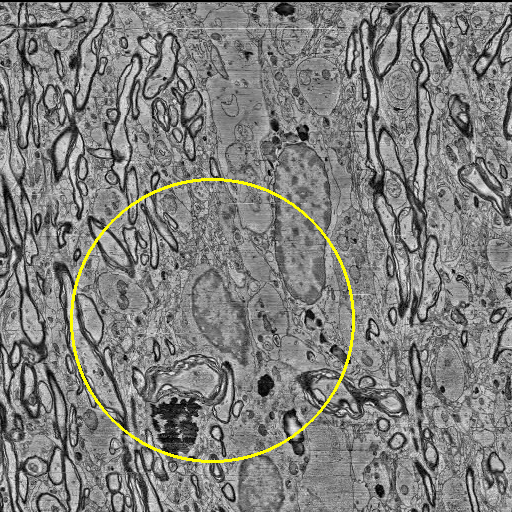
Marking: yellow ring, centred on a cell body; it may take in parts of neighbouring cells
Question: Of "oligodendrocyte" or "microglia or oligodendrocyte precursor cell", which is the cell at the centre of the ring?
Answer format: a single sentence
The ring surrounds the body of an oligodendrocyte.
